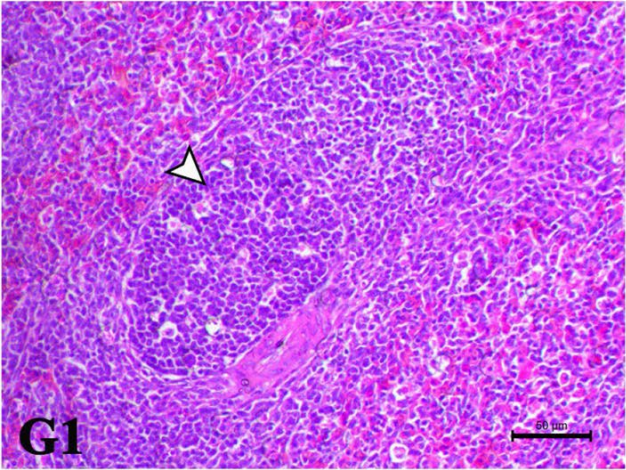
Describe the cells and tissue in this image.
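Spleen with a rounded lymphoid follicle of densely packed small lymphocytes with dark purple nuclei, bounded by a thin pale rim of flattened cells. Around it lies looser tissue of mixed cells with scattered red-staining areas of red blood cells.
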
